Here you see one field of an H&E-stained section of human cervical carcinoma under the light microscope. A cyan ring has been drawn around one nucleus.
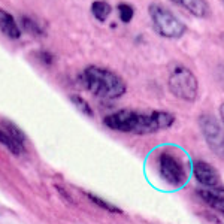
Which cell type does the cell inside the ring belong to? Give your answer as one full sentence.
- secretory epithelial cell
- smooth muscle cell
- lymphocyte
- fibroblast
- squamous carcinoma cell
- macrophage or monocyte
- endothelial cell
In this section of tissue, the cell inside the ring is a squamous carcinoma cell.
